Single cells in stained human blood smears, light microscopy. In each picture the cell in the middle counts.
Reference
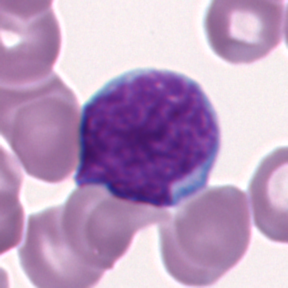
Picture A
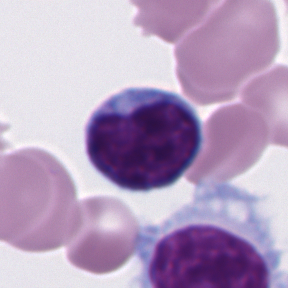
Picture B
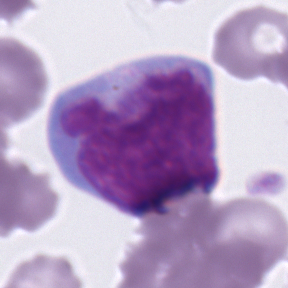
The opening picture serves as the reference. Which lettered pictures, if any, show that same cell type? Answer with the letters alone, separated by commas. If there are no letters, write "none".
B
